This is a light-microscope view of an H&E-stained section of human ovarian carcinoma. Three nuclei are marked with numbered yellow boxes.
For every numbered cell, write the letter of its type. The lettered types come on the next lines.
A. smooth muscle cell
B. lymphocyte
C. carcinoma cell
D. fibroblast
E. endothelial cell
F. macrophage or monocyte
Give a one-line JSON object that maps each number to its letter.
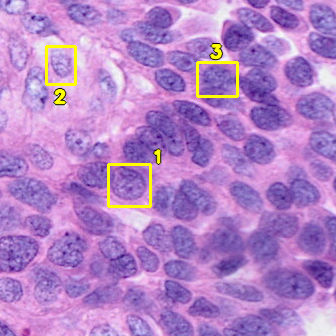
{"1": "C", "2": "D", "3": "C"}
